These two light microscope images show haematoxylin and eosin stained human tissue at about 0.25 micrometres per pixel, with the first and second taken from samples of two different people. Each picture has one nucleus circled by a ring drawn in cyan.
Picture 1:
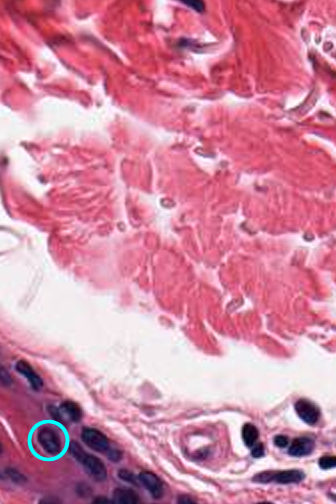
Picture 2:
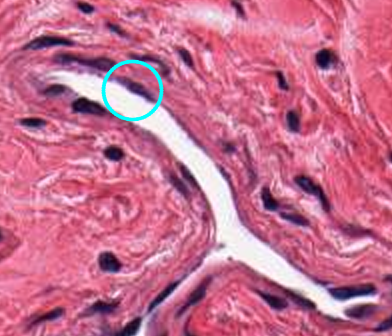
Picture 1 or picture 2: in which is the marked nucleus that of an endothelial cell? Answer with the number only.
2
